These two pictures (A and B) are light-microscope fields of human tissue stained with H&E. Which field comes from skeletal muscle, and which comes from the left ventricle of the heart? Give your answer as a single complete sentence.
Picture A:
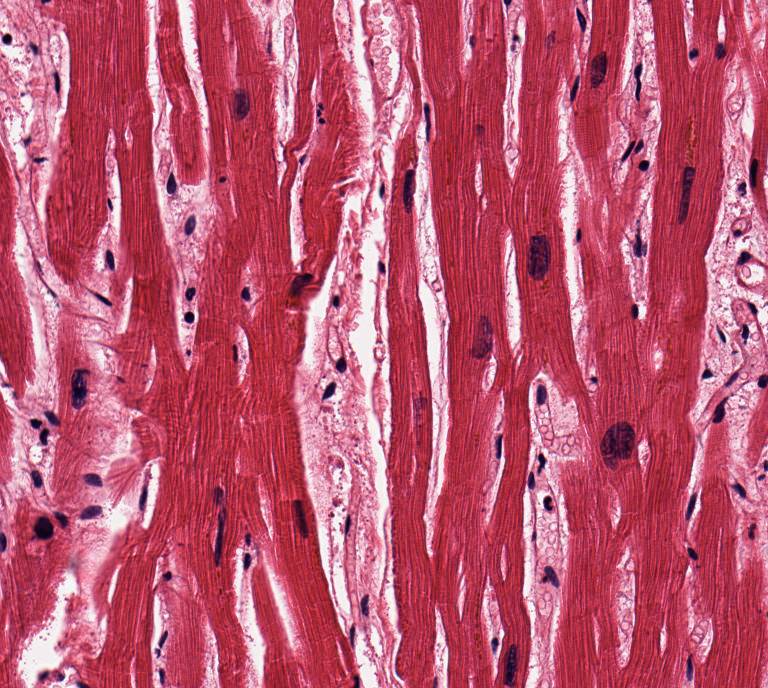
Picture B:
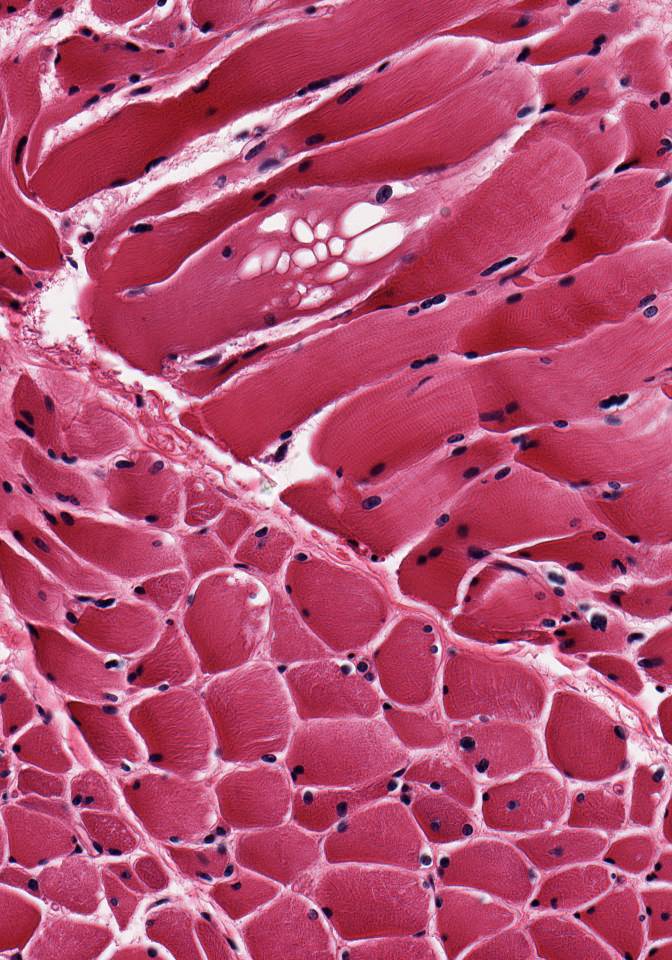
It is picture A that comes from the left ventricle of the heart, and picture B that comes from skeletal muscle.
